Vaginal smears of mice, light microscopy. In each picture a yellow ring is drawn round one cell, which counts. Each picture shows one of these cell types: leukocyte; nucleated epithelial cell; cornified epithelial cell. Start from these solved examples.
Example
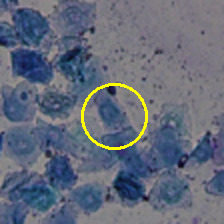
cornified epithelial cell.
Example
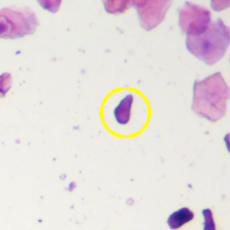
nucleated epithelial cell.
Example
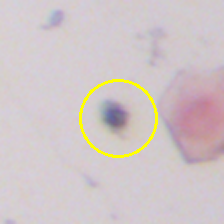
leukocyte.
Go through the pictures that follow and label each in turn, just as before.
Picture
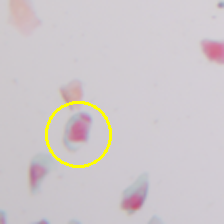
nucleated epithelial cell.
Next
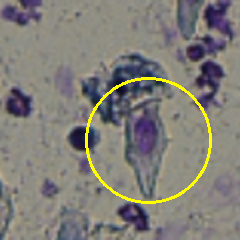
nucleated epithelial cell.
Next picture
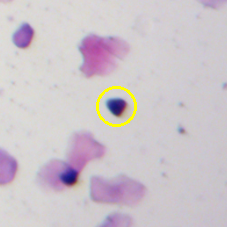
leukocyte.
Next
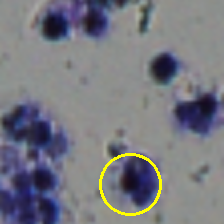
leukocyte.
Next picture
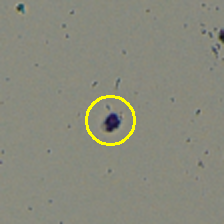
leukocyte.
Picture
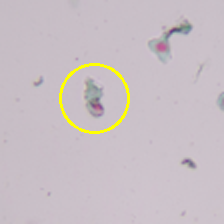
nucleated epithelial cell.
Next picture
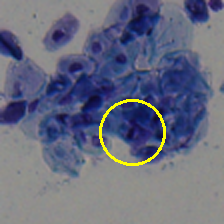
nucleated epithelial cell.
